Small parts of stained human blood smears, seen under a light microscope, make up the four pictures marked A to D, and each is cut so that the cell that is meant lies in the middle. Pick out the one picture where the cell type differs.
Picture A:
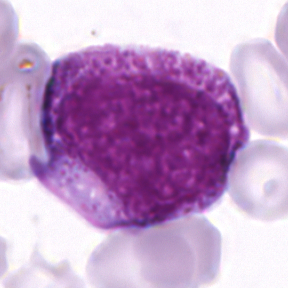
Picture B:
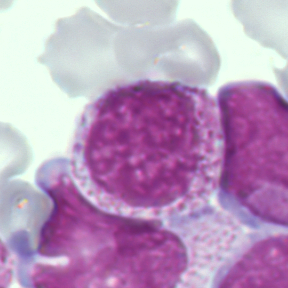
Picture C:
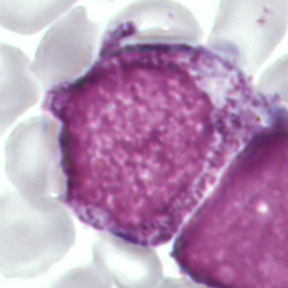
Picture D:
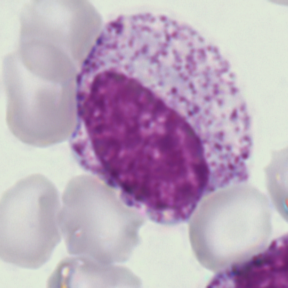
A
